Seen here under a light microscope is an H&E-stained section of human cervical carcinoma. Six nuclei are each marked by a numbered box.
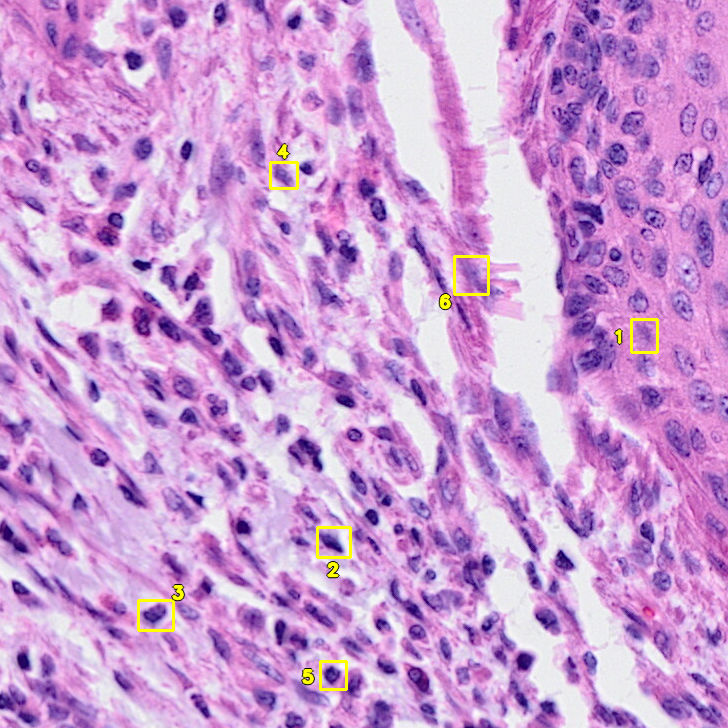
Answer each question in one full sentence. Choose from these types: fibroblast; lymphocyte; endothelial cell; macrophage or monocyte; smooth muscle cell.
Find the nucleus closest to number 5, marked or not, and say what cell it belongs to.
It is a macrophage or monocyte whose nucleus is nearest to number 5.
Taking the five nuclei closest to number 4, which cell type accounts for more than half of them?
The majority of the five nuclei closest to number 4 belong to fibroblasts.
